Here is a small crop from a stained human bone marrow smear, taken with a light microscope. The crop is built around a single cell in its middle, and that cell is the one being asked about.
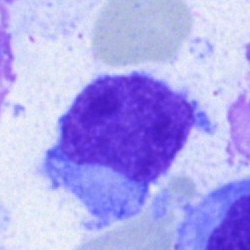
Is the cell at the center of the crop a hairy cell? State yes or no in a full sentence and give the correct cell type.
Yes, the cell at the midpoint of the crop is a hairy cell.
